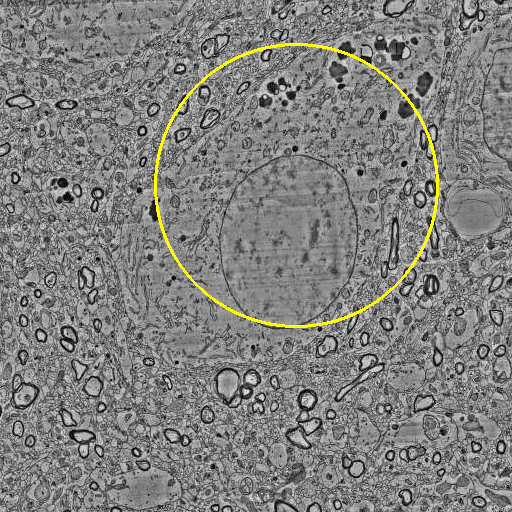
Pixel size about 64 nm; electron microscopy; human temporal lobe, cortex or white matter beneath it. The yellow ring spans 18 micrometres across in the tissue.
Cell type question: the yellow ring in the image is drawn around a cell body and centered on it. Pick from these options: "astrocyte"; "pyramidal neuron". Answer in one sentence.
The ringed cell at the center is a pyramidal neuron.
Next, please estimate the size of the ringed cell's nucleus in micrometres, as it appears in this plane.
The nucleus has a long axis of about 12 micrometres and a short axis of about 9 micrometres in this plane.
